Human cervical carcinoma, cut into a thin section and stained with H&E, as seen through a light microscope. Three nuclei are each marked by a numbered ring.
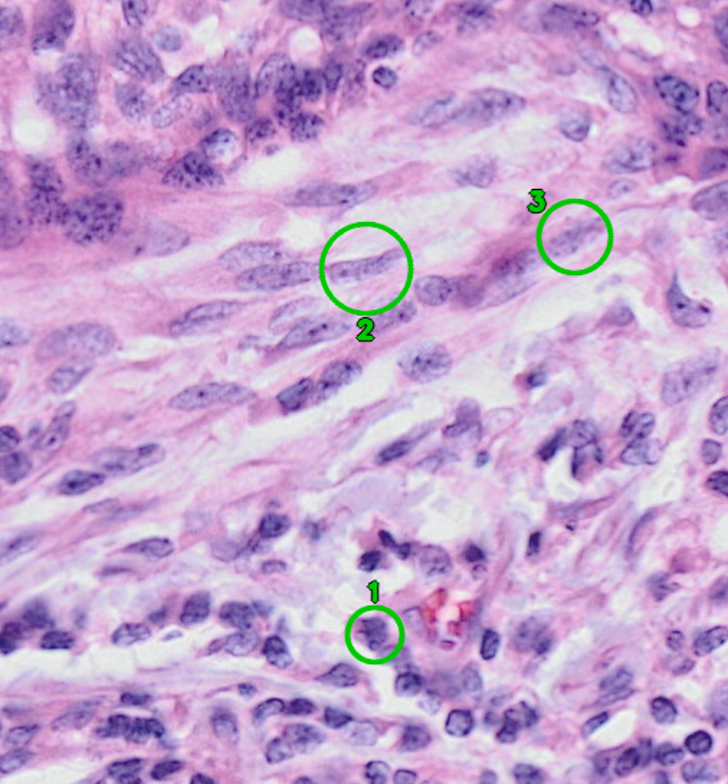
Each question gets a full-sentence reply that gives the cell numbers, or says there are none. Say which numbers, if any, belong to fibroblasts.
Here, the cells that carry numbers 2 and 3 are fibroblasts.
